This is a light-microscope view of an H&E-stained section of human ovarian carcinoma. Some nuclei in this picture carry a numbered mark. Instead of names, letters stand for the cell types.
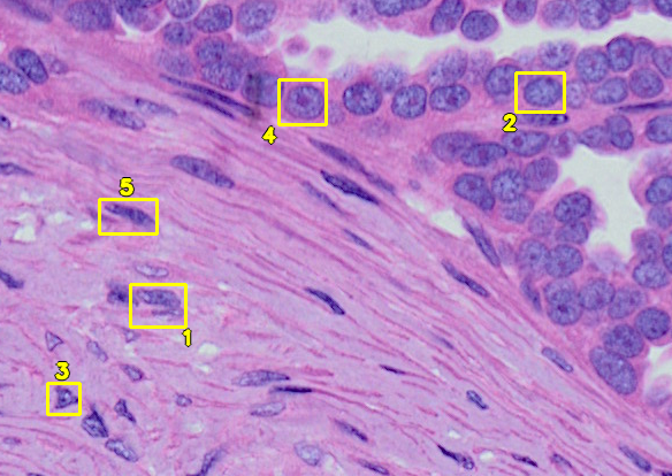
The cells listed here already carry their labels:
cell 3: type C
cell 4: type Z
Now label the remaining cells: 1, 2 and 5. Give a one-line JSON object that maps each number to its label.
{"1": "type C", "2": "type Z", "5": "type C"}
